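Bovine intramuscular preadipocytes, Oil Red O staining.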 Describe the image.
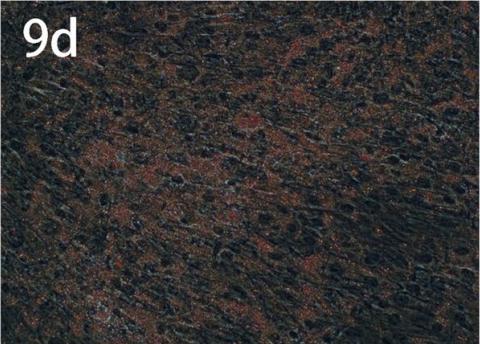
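The cells form a crowded, confluent layer, with darker nuclei showing between the stained droplets. The red staining is spread over almost the whole field, in patches of greater and lesser density.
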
